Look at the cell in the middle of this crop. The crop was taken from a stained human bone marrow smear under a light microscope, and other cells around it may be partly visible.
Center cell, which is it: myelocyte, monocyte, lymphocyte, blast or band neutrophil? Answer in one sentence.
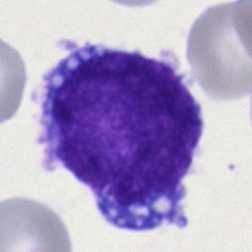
The centrally placed cell is classified as a blast.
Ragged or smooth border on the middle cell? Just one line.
Irregular and not smooth, the cell boundary is ragged or drawn out into projections.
